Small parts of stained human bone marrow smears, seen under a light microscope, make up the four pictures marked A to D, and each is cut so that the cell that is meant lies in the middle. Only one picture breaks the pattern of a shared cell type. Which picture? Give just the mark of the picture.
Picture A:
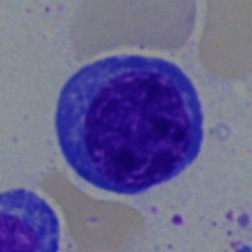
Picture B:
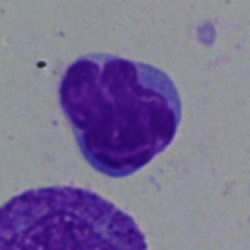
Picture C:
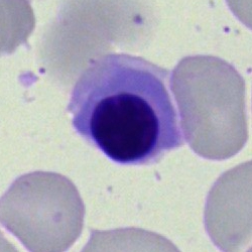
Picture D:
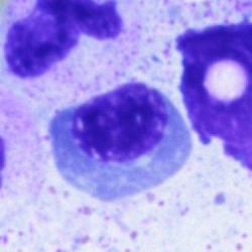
B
